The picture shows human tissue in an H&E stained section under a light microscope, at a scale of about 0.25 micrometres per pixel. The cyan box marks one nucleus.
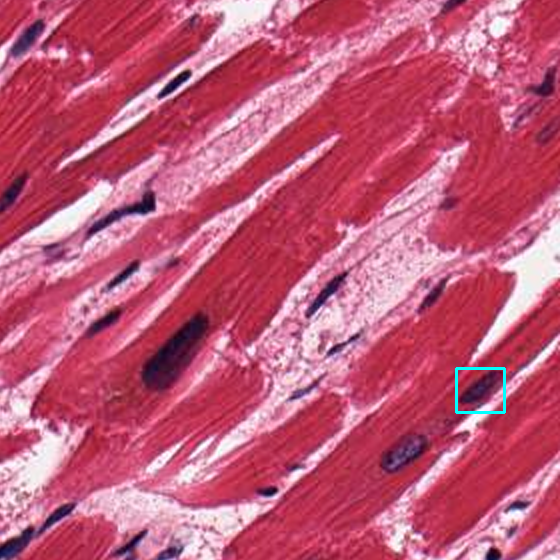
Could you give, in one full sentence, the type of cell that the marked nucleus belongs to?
The nucleus with the mark belongs to a cardiomyocyte.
